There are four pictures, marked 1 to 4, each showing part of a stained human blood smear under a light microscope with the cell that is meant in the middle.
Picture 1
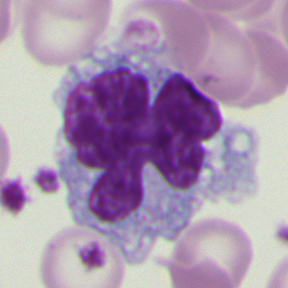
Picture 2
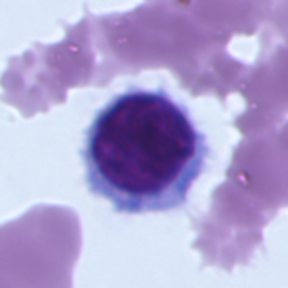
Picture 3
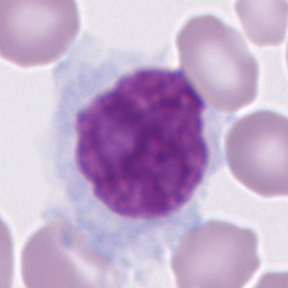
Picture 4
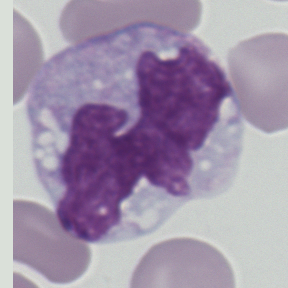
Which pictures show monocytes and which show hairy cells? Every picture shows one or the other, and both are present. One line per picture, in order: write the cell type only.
monocyte
hairy cell
hairy cell
monocyte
